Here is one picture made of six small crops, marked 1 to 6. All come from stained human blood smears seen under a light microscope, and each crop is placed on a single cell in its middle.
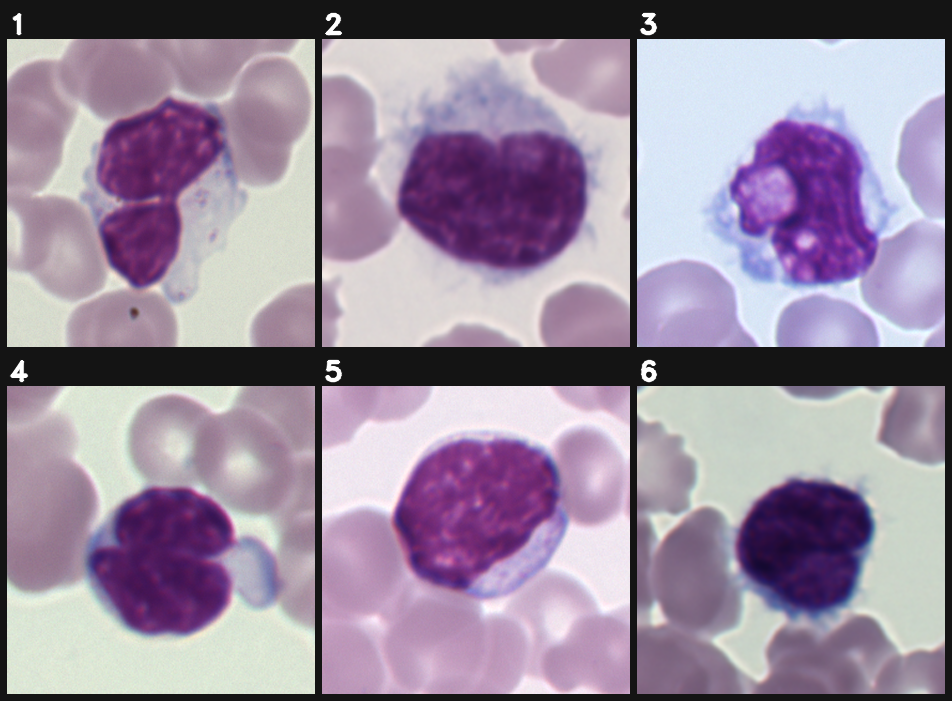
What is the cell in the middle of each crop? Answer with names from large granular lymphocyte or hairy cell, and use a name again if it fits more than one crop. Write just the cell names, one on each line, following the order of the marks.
large granular lymphocyte
hairy cell
hairy cell
large granular lymphocyte
large granular lymphocyte
hairy cell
